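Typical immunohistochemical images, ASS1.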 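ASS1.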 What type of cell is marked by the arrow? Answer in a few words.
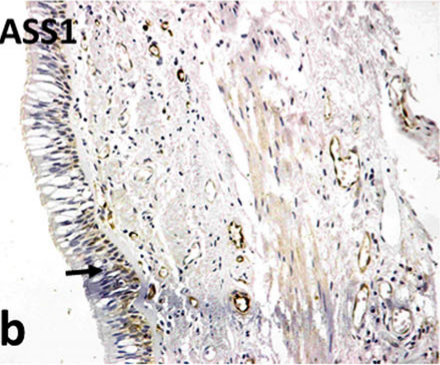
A: Bronchial cells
